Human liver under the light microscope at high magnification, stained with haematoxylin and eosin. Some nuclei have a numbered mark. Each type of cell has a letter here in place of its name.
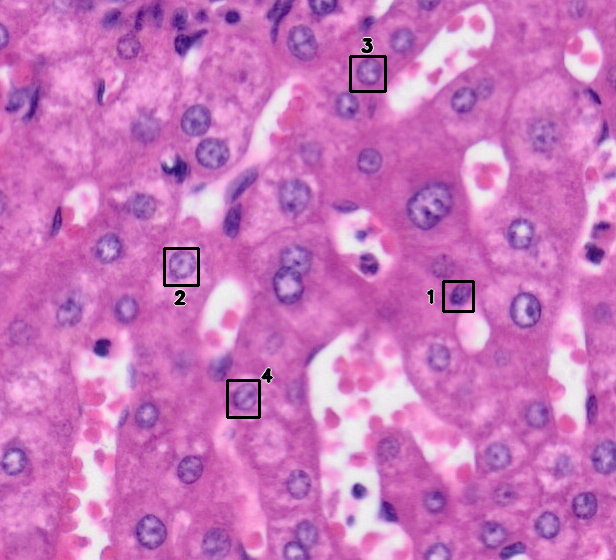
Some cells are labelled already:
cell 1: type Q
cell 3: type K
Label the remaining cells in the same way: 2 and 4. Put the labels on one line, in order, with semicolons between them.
type K; type K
